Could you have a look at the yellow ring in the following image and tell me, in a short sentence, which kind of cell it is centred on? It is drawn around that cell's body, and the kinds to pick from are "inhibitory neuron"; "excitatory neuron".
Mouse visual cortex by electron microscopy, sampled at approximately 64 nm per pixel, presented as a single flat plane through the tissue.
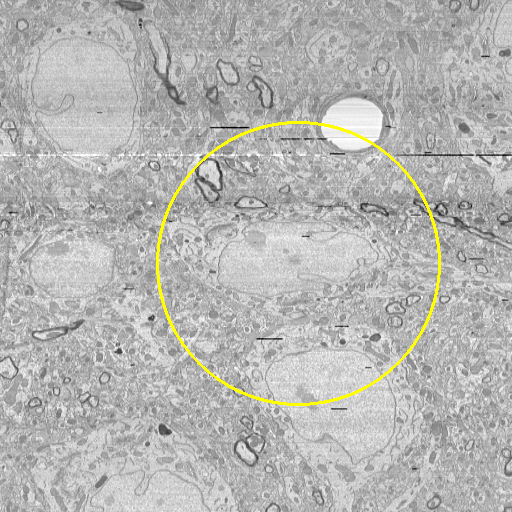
The ring is centred on the body of an inhibitory neuron.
